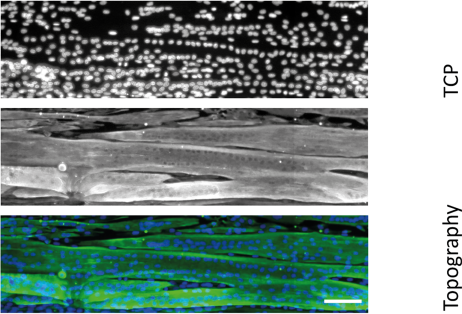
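Cultured myotubes appear as long, broad, multinucleated fibres lying roughly parallel across the field. The nuclear strip shows many oval nuclei; within the fibres they are lined up in long rows following the fibre axis rather than scattered. In the merged image blue nuclei sit inside and beside the green fibres, and several nuclei lie near the margins of the fibres. Some unstained gaps separate neighbouring fibres.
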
